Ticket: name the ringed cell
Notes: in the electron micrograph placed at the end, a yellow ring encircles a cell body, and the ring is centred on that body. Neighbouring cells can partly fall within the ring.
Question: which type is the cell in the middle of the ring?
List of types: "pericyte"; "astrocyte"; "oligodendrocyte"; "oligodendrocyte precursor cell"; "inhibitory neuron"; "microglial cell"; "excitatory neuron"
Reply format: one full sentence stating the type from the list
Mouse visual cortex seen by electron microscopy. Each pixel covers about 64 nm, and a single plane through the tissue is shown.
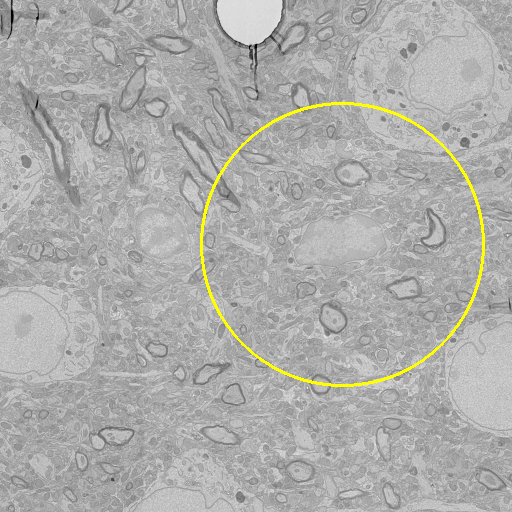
The cell sitting at the centre of the yellow ring is a microglial cell.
